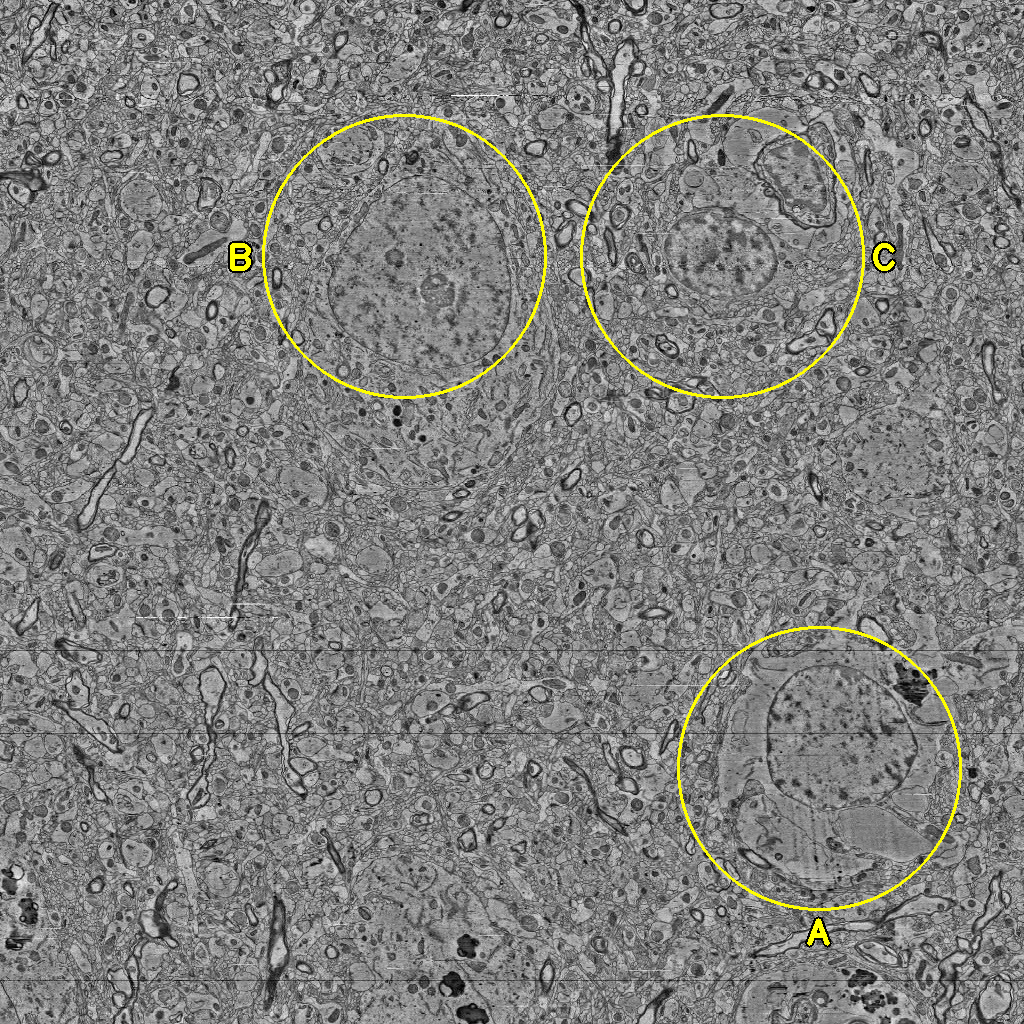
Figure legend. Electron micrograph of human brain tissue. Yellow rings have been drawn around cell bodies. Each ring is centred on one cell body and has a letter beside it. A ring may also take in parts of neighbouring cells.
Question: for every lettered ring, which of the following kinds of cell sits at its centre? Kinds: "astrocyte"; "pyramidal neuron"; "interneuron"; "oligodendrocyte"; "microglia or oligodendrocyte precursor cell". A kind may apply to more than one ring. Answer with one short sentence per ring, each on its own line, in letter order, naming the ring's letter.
Ring A is centred on an astrocyte.
Ring B is centred on an interneuron.
Ring C is centred on an oligodendrocyte.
